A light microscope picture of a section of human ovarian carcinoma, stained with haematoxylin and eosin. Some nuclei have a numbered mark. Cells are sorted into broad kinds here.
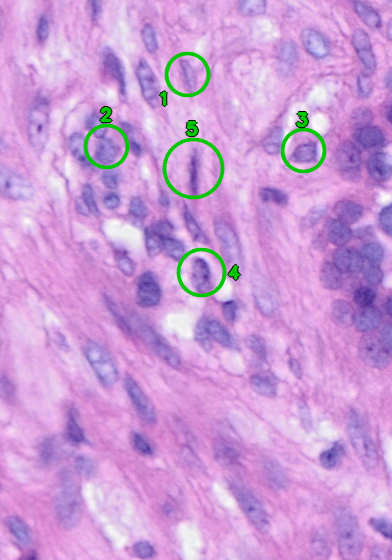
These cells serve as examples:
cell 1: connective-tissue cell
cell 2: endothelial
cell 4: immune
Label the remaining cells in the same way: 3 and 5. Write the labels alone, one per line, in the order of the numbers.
immune
connective-tissue cell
